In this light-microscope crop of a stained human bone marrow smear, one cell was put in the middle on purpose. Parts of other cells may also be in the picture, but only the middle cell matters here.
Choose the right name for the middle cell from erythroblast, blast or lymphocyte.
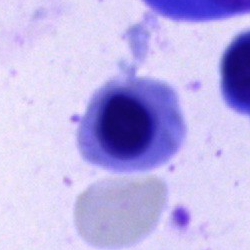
erythroblast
